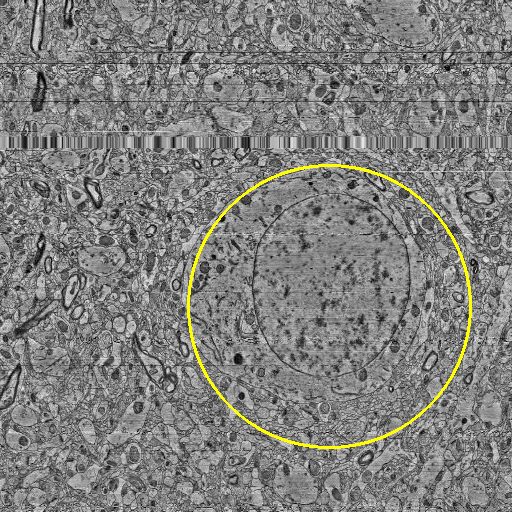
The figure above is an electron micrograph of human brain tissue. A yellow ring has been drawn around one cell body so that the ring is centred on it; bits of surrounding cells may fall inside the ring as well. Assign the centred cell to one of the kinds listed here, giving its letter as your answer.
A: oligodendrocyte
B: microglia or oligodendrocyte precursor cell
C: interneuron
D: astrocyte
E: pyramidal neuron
E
